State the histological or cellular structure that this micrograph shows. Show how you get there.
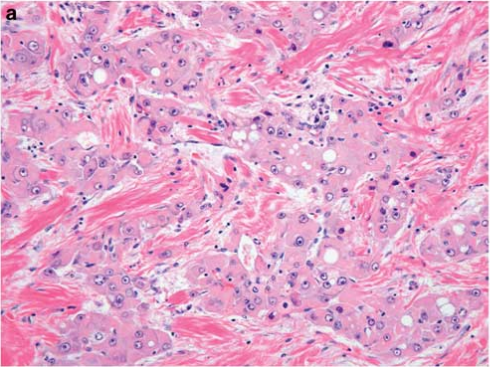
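Bands of fibrosis. Pink, dense, streaming bands of collagen run between groups of large tumor cells.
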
